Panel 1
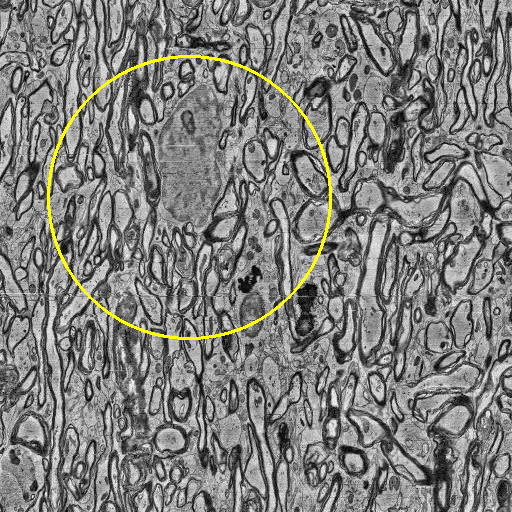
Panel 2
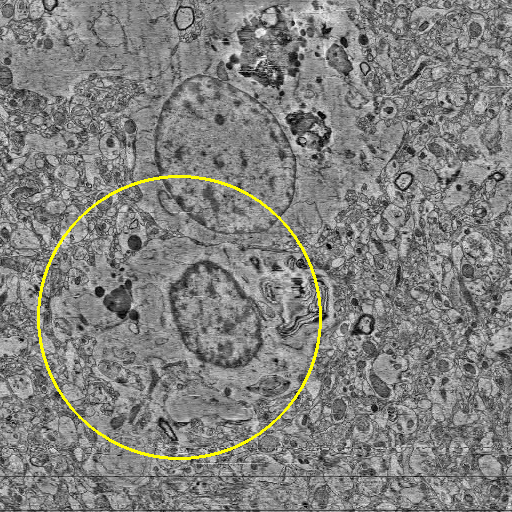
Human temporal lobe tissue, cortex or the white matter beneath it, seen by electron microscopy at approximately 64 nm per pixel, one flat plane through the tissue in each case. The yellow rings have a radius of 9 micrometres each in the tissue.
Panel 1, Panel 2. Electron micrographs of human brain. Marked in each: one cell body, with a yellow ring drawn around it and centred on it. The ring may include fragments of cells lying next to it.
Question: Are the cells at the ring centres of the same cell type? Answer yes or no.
no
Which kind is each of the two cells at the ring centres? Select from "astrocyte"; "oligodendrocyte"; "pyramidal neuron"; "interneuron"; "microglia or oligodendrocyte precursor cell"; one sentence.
The cell at the centre of the ring is an oligodendrocyte in the first picture and an astrocyte in the second.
